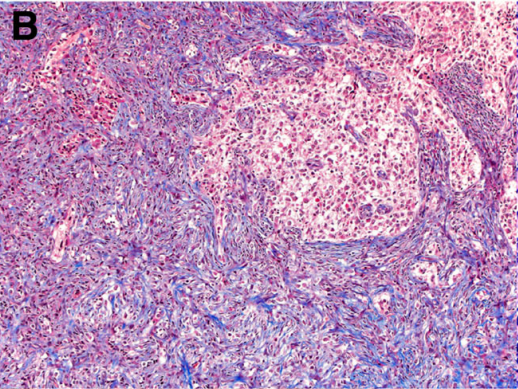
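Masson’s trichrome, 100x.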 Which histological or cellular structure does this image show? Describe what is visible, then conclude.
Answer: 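Spindle cells lie in fascicles within the blue fibrous areas. A paler nodule of rounder cells is surrounded by the fibrous tissue. On this evidence: desmoplastic stroma.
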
